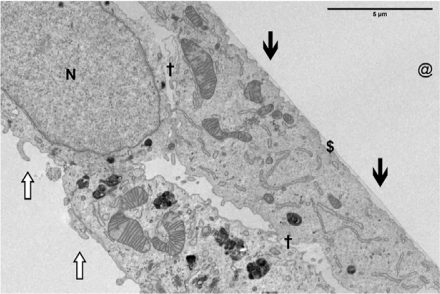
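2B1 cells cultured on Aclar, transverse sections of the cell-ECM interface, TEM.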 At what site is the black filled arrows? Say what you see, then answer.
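The filled arrows point to a smooth, flattened cell border along the top. A thin dark layer lines this border against an empty pale area.
Conclusion: basal surface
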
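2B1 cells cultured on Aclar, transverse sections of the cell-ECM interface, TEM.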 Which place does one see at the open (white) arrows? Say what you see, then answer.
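The open arrows point to the cell surface opposite the flat upper border. Small finger-like projections stick out from the surface there.
Hence: luminal side with microvilli.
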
